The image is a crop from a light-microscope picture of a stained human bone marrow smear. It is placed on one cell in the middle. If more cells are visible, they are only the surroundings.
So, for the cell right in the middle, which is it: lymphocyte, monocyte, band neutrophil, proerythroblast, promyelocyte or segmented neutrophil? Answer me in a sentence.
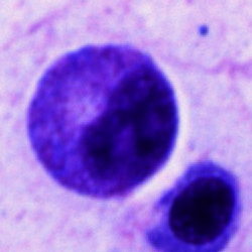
The cell at the centre of the field is a promyelocyte.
